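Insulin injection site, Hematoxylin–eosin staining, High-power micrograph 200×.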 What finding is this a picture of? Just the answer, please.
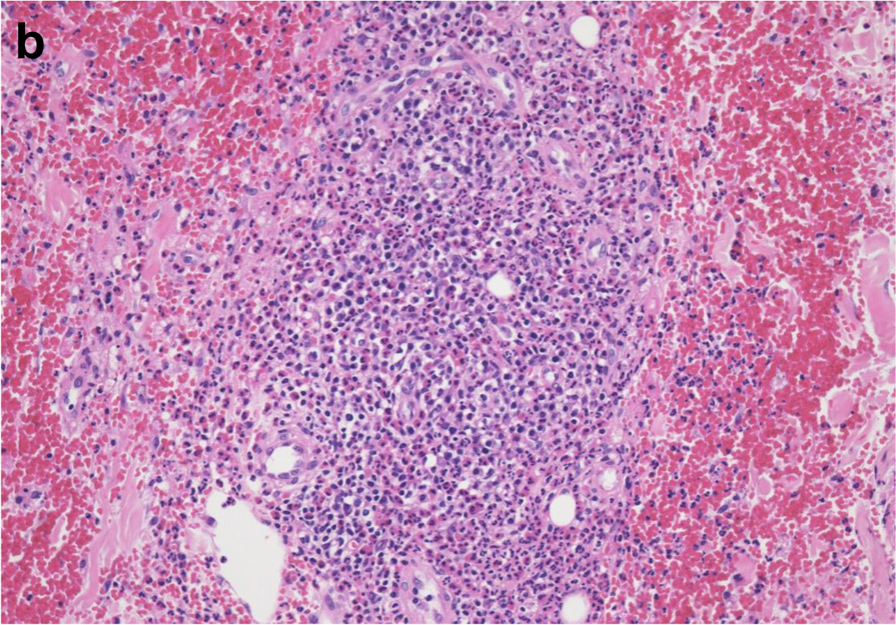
Infiltration of eosinophils.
